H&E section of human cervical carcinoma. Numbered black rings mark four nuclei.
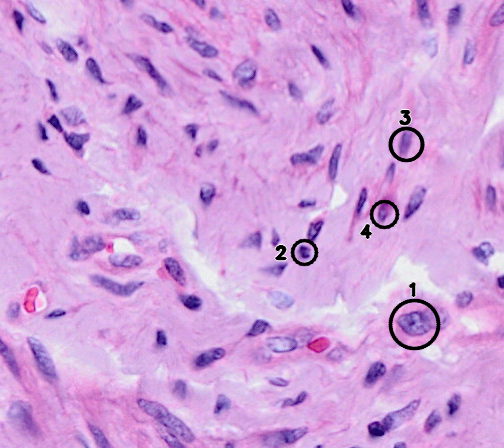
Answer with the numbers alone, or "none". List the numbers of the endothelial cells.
1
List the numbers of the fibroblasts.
2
